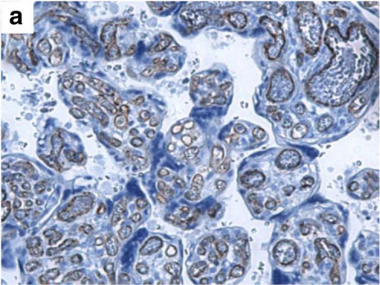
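Placental villi are seen in cross-section as many rounded and oval tissue profiles separated by pale intervillous space. Each villus has a blue-stained rim and a paler blue core. Within the core lie numerous small vessels outlined by brown stain, appearing as rings of varying size; many of them are round and enclose a clear, open lumen. Several vessels sit close beneath the villous surface.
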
